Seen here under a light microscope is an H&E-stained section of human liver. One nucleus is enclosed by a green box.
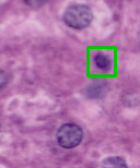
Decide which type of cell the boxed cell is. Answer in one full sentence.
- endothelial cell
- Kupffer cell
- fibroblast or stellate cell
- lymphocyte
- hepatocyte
To be brief about it, the boxed cell is a lymphocyte.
